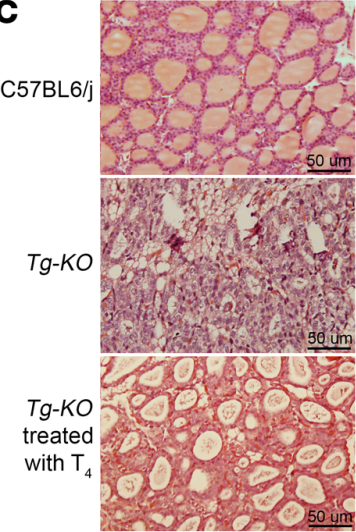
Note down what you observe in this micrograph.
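Three stacked sections of thyroid gland are shown in pink and purple stains. In the top image the gland consists of many round and polygonal follicles of varying size. They are packed side by side and filled with homogeneous pink colloid. Each follicle is lined by a single thin layer of epithelial cells with small dark nuclei. In the middle image the follicular pattern is largely lost. Crowded sheets of epithelial cells with purple nuclei take its place, leaving only scattered small, irregular, pale spaces and little colloid. In the bottom image follicles are again present. They are lined by cuboidal epithelium, hold pale colloid, and are separated by red-stained tissue.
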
